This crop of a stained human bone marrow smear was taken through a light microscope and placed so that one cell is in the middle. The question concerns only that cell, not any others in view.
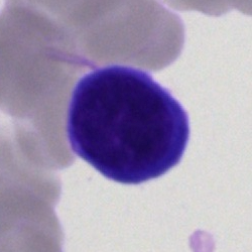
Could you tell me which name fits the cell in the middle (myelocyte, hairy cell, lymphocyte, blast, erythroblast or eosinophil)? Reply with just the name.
lymphocyte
